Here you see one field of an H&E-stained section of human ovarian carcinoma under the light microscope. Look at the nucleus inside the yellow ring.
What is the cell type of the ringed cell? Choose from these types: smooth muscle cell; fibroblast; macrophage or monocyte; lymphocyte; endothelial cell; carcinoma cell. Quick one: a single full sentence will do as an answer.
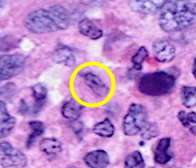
In this tissue sample, the ringed cell is a macrophage or monocyte.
